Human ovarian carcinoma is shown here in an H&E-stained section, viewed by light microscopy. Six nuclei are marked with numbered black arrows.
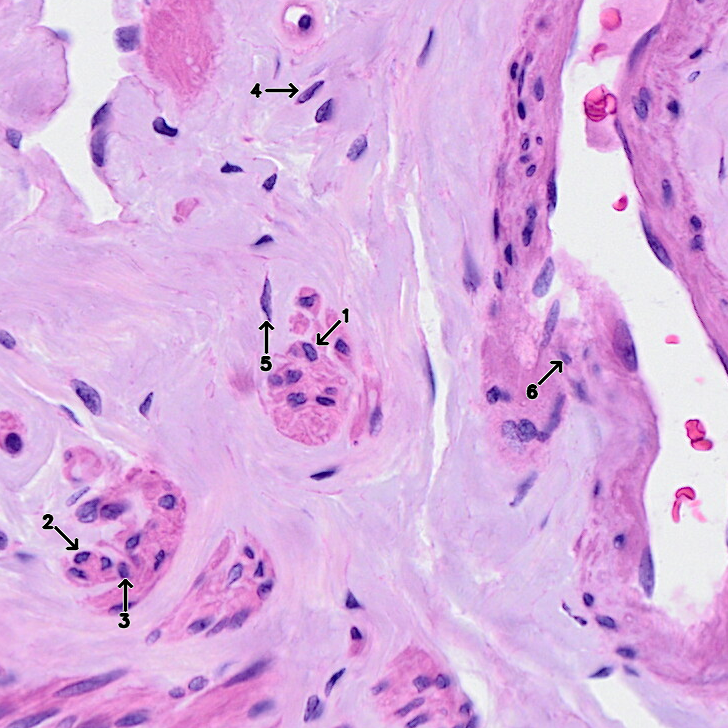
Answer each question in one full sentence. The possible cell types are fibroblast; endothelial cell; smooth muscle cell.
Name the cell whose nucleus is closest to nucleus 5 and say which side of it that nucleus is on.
A smooth muscle cell lies closest, to the right of nucleus 5.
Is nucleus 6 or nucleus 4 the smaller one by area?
With nucleus 4 about 2.5 times its size, nucleus 6 is the smaller of the two.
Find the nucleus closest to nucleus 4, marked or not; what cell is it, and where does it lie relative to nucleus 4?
A fibroblast lies closest, below and to the right of nucleus 4.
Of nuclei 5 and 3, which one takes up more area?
Nucleus 5 covers more area, about 2.5 times as much as nucleus 3.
